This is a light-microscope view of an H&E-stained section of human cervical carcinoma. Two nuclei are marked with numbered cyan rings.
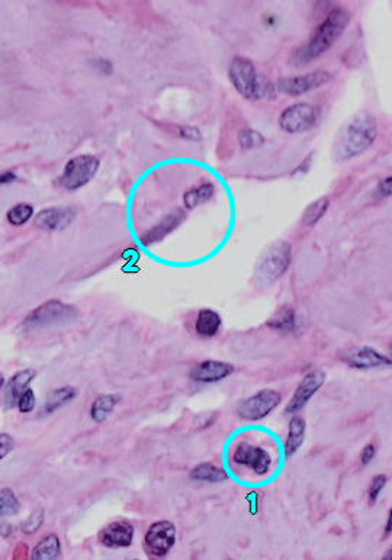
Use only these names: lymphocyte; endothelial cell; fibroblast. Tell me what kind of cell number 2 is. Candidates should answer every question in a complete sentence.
The one numbered 2 among the marked cells is an endothelial cell.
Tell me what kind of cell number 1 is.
The identity of cell 1 is that of a lymphocyte.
